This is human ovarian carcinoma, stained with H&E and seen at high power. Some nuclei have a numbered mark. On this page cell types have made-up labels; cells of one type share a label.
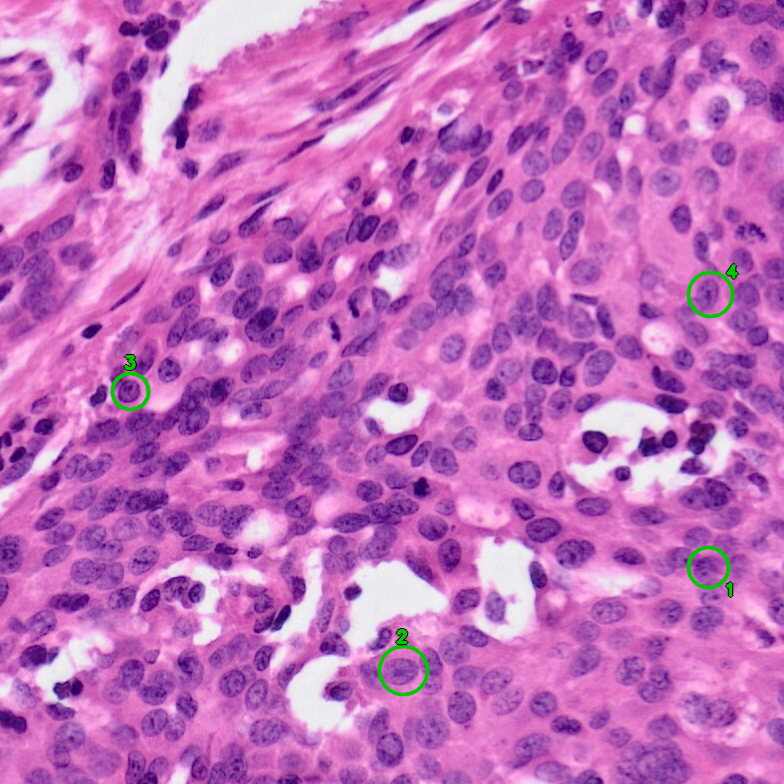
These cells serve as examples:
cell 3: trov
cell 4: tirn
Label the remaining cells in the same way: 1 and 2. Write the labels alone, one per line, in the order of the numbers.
tirn
tirn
